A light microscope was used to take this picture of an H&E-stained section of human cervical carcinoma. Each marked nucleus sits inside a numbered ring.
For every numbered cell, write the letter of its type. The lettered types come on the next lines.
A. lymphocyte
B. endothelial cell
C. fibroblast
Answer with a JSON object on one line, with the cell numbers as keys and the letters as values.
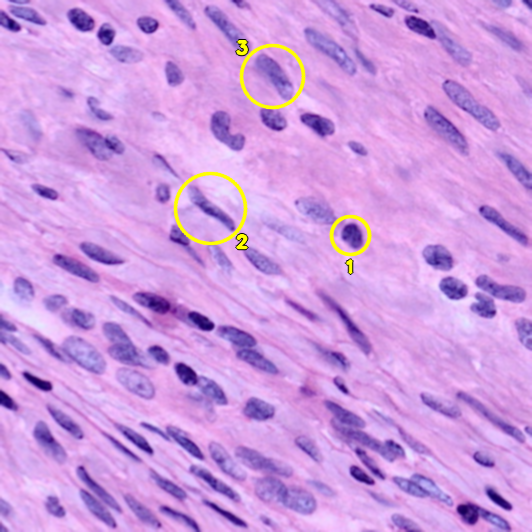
{"1": "A", "2": "C", "3": "C"}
